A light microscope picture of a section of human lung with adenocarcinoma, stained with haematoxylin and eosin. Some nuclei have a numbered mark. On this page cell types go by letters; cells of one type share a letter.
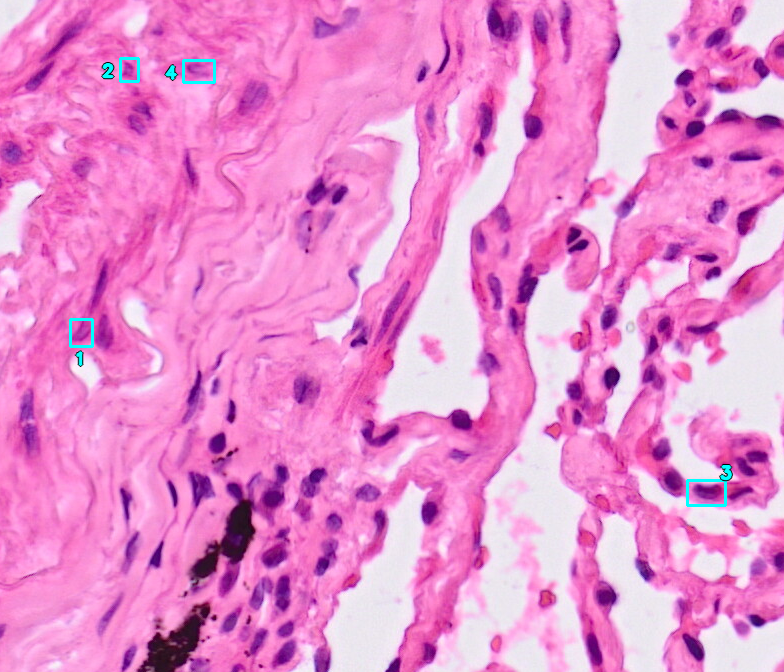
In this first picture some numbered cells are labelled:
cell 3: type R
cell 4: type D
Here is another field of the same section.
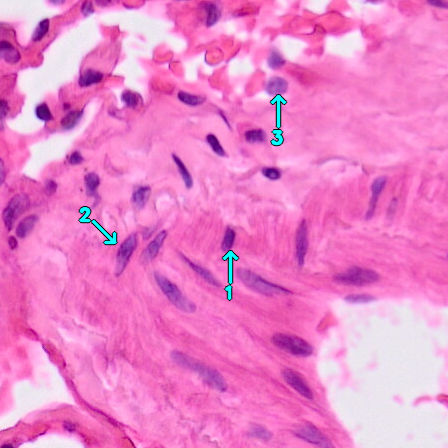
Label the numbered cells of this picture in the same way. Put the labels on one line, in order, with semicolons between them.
type D; type D; type R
